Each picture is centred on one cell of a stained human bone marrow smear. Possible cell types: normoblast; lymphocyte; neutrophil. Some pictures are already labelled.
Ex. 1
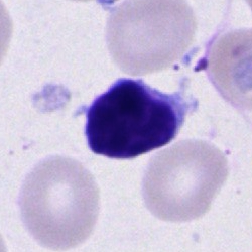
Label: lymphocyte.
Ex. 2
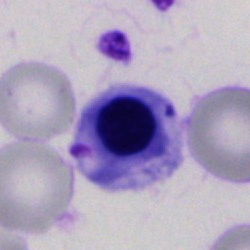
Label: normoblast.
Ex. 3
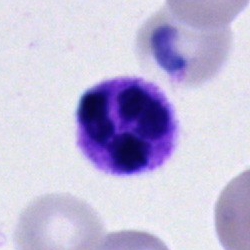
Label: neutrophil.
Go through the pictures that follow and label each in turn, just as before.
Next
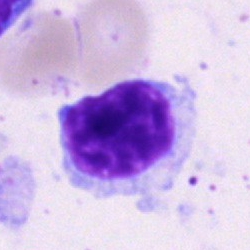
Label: lymphocyte.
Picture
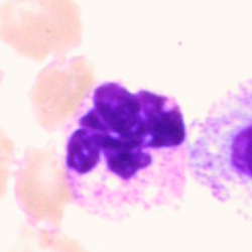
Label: neutrophil.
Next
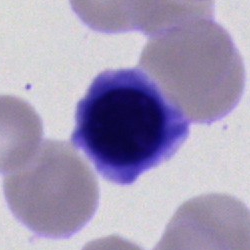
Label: normoblast.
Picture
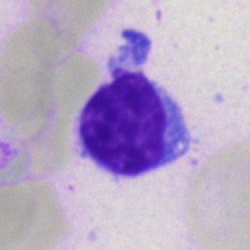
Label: lymphocyte.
